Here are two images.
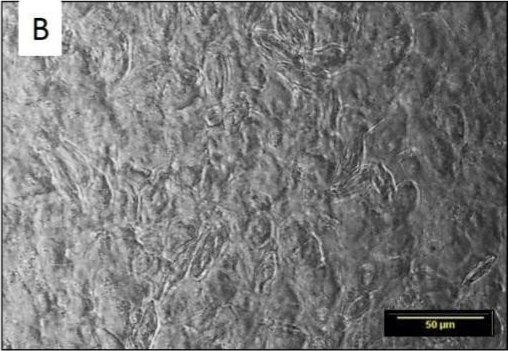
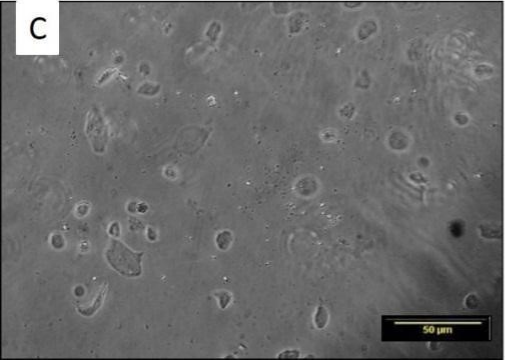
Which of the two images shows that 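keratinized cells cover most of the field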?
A: The first image.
